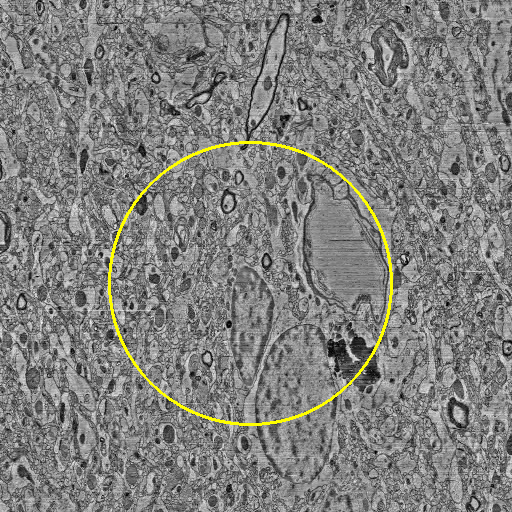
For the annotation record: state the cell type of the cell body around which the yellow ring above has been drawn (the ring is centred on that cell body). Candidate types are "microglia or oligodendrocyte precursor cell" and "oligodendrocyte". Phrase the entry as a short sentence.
The ringed cell is a microglial cell or oligodendrocyte precursor cell.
